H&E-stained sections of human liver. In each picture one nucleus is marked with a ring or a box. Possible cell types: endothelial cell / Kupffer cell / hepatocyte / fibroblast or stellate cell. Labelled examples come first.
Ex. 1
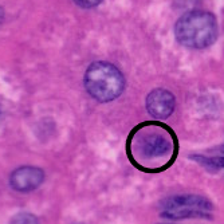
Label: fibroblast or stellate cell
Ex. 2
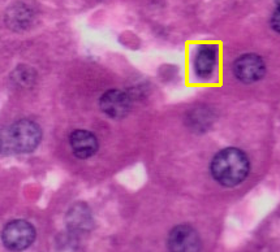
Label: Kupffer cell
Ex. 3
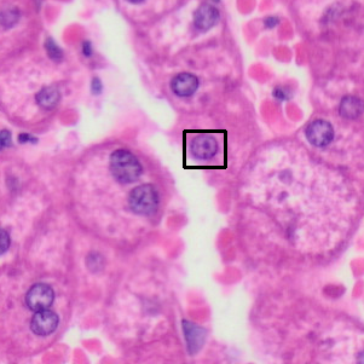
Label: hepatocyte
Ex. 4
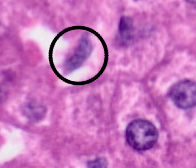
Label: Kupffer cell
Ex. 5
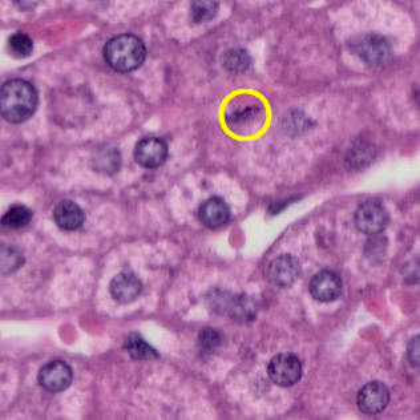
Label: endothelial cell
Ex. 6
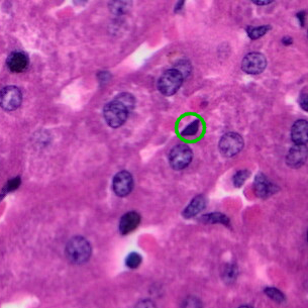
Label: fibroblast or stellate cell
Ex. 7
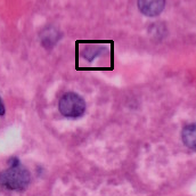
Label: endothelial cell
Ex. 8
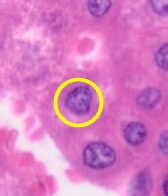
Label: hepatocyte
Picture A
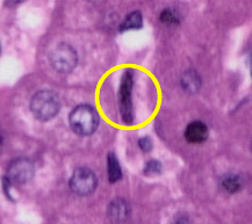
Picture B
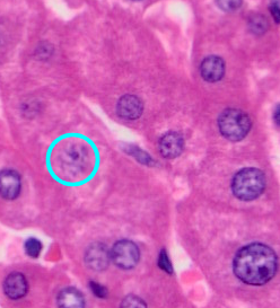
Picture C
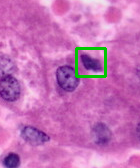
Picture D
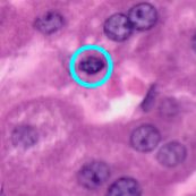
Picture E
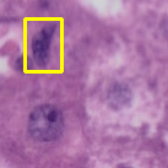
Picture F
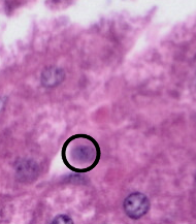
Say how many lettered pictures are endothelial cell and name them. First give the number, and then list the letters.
0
